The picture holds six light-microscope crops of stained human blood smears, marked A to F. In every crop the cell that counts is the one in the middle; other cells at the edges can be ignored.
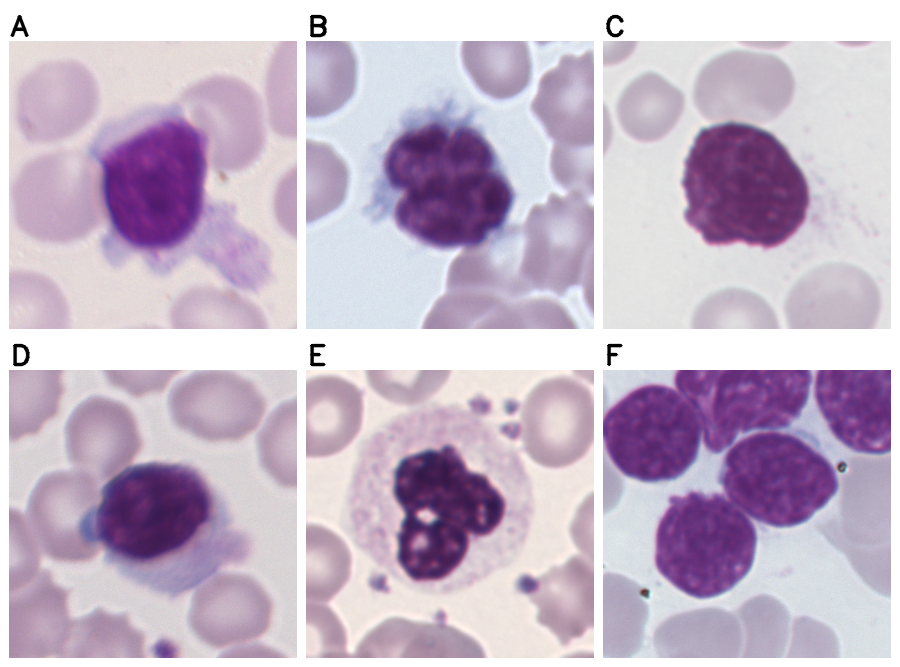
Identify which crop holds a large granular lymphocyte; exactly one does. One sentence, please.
Crop A is the crop that displays a large granular lymphocyte.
